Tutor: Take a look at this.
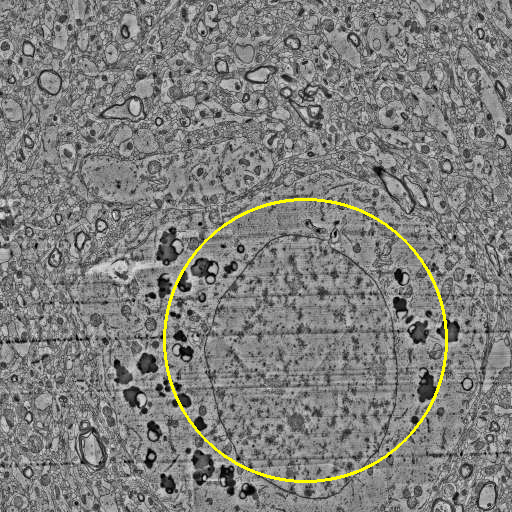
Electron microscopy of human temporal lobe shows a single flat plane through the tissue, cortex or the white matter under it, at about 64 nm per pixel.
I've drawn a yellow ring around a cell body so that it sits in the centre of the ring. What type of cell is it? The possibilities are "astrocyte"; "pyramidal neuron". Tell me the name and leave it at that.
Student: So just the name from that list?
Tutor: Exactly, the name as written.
pyramidal neuron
